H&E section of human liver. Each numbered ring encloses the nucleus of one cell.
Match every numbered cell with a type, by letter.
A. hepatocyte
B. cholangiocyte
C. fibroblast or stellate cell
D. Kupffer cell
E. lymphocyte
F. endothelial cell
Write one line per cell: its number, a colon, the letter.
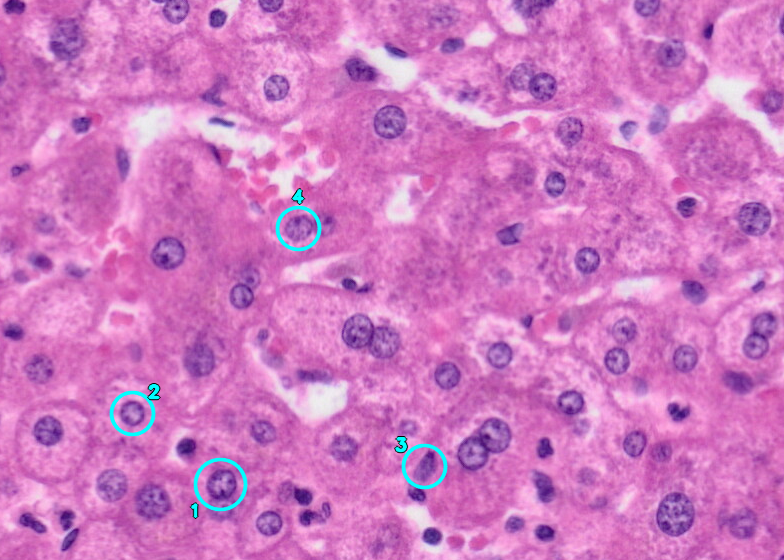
1: A
2: A
3: C
4: A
